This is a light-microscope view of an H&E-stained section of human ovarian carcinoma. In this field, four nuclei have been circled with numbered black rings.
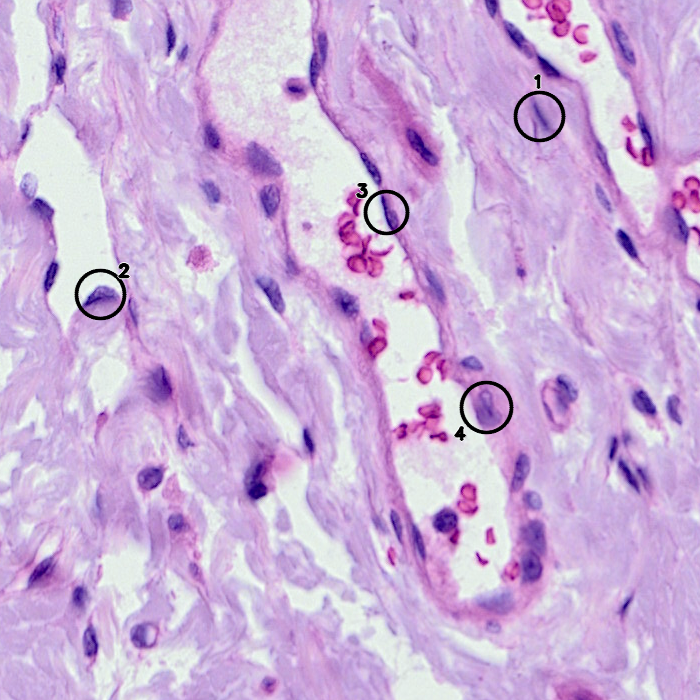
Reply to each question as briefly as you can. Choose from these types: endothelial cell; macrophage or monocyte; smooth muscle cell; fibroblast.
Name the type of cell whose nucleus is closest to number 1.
endothelial cell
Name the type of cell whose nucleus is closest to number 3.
endothelial cell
